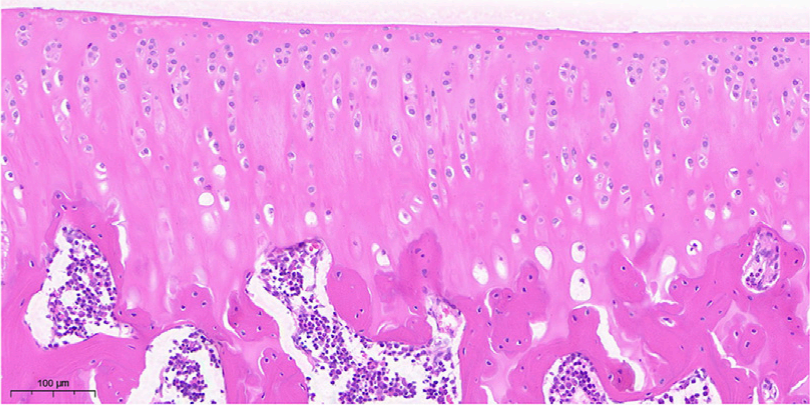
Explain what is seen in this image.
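This is a section of cartilage stained pink, with chondrocytes in lacunae above bone and marrow. Deeper in the tissue they are arranged in vertical columns, singly or in small groups, each cell with a purple nucleus. Toward the bone border some lacunae are larger and rounder. Beneath lie pink bone trabeculae and marrow spaces filled with many small, dark purple cells.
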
